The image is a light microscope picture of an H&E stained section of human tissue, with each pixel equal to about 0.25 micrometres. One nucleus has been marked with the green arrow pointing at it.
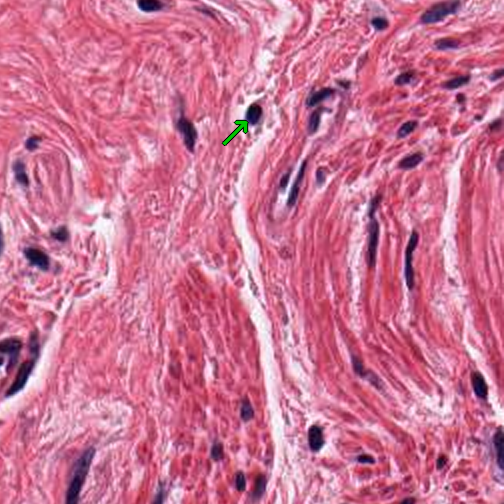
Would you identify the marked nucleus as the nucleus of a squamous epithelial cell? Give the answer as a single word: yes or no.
no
